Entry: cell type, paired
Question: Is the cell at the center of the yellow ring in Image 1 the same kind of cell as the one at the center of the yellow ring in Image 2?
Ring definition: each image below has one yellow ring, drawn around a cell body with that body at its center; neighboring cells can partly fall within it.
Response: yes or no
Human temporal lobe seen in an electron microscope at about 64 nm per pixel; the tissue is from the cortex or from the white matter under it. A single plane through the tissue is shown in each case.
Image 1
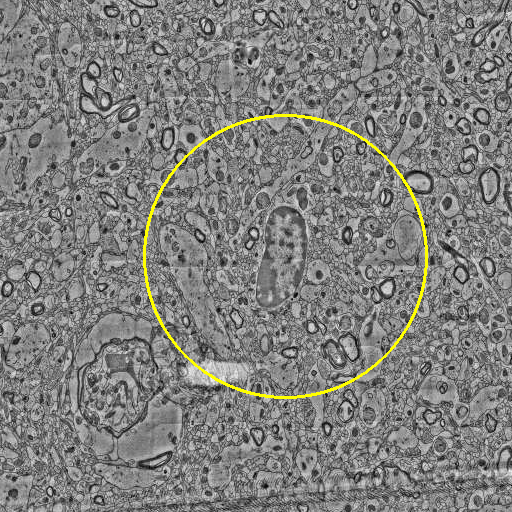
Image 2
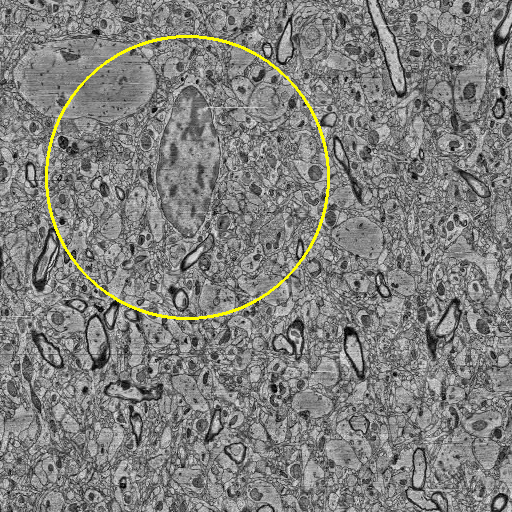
yes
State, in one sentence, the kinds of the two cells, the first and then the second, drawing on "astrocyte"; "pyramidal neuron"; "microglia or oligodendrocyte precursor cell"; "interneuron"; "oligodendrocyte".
Both the first and the second picture show a microglial cell or oligodendrocyte precursor cell in the ring.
